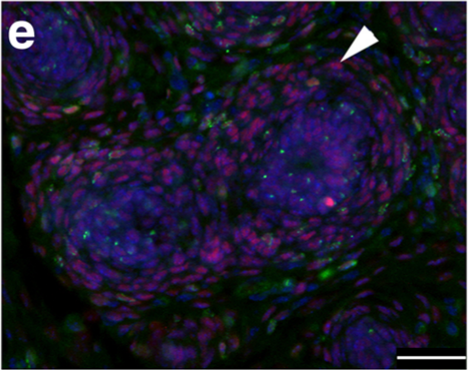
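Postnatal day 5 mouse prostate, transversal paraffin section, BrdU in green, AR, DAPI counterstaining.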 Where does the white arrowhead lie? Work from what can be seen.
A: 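The arrowhead points to spindle-shaped nuclei between the rounded epithelial buds. The marked cells form concentric layers around the buds. On this evidence: stromal.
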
